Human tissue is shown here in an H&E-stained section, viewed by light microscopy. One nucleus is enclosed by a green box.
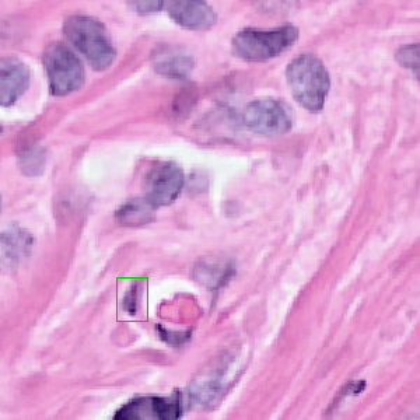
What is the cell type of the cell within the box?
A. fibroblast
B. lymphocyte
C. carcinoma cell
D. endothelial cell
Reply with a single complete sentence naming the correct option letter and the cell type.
The correct option is D, as the cell within the box is an endothelial cell.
